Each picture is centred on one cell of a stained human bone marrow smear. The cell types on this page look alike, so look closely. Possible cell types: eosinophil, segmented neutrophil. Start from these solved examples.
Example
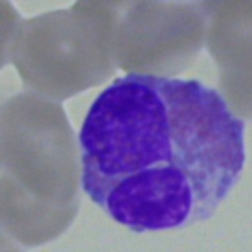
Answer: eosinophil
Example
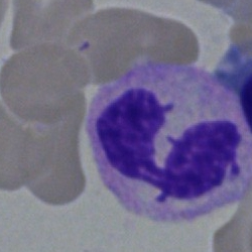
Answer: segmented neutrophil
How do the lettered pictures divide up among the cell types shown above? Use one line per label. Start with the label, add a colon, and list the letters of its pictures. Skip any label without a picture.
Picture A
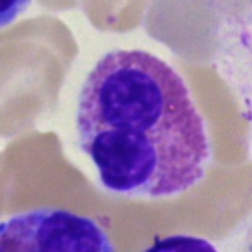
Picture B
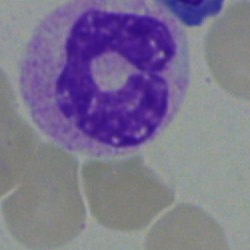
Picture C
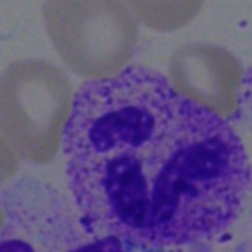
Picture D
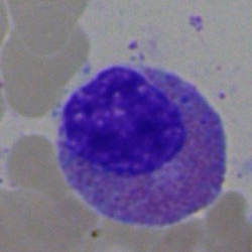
eosinophil: A, D
segmented neutrophil: B, C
